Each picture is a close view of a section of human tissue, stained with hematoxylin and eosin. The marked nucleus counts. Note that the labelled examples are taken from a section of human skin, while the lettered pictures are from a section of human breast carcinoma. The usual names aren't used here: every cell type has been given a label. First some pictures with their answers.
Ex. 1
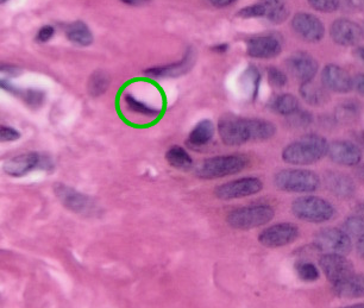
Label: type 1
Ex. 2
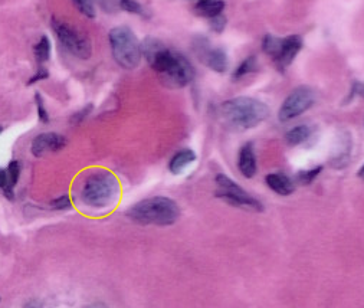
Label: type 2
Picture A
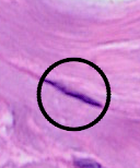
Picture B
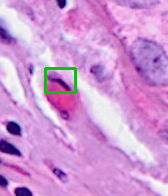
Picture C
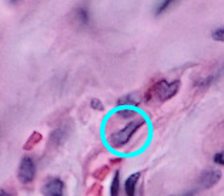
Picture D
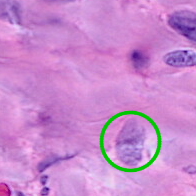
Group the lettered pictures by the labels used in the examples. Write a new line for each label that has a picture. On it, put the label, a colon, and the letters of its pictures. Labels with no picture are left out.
type 1: A, D
type 2: B, C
